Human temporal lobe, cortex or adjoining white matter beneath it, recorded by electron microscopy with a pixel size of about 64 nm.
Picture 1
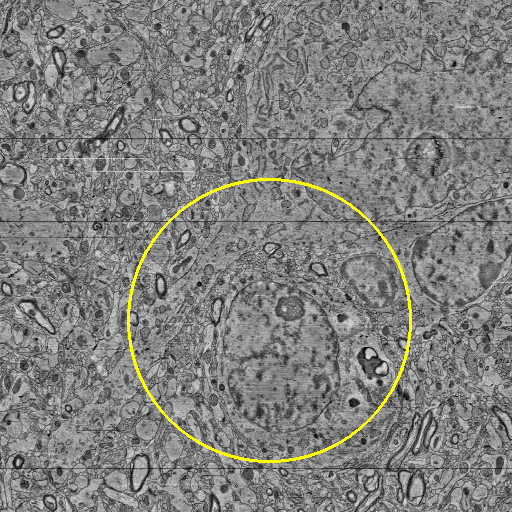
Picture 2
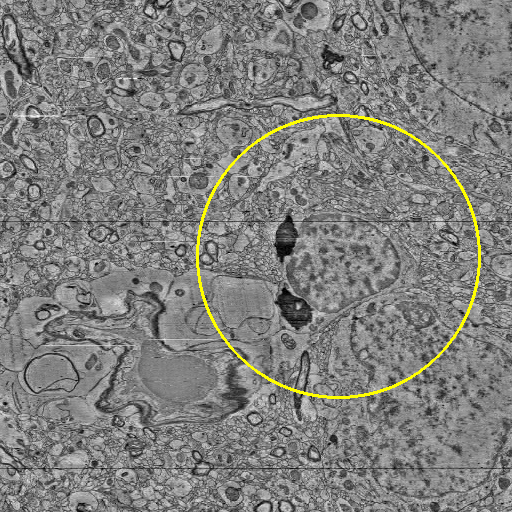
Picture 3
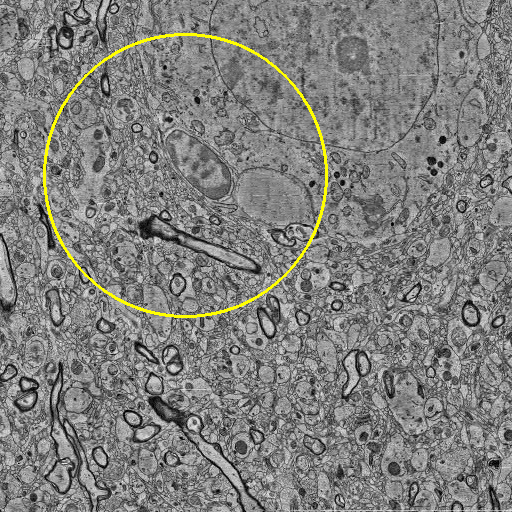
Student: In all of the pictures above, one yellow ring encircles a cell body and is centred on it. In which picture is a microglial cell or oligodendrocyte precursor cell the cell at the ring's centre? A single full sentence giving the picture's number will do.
Picture number 3 has the wanted cell right at the centre of its ring.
